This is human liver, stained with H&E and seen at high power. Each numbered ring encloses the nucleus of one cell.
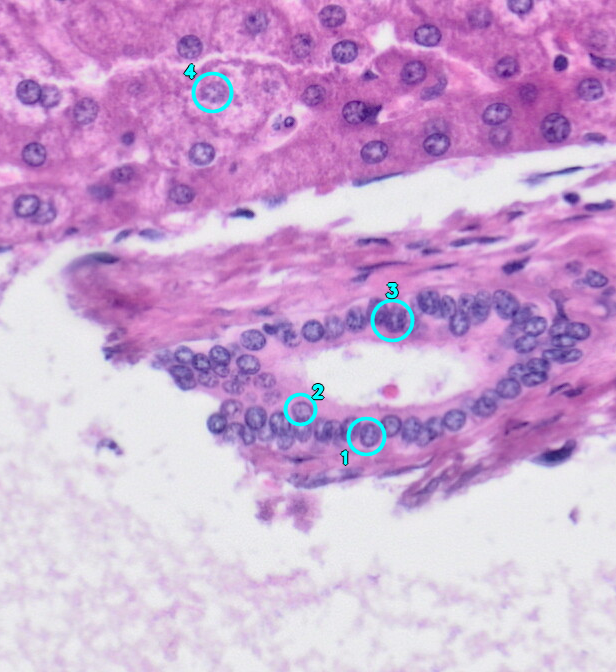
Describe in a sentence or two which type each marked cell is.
Cell 1 is a cholangiocyte, cell 2 is a cholangiocyte, cell 3 is a cholangiocyte and cell 4 is a hepatocyte.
